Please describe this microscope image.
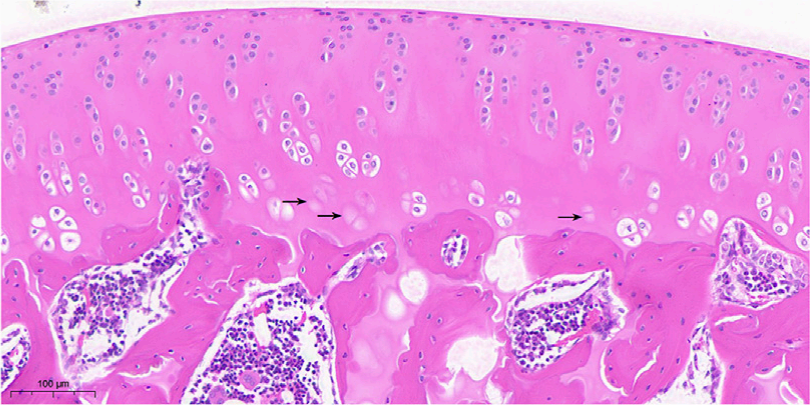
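This is a section of cartilage stained pink, with chondrocytes in lacunae above a layer of bone and marrow. Near the smooth upper surface the chondrocytes are small and scattered. Deeper down many chondrocytes lie in clusters of two to four cells within enlarged, clear lacunae. Close to the border with the bone, several lacunae are pale and their cells show no purple nucleus. Below, pink bone trabeculae enclose marrow spaces packed with small, dark purple cells.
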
